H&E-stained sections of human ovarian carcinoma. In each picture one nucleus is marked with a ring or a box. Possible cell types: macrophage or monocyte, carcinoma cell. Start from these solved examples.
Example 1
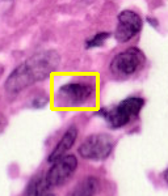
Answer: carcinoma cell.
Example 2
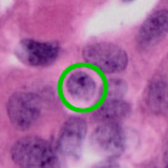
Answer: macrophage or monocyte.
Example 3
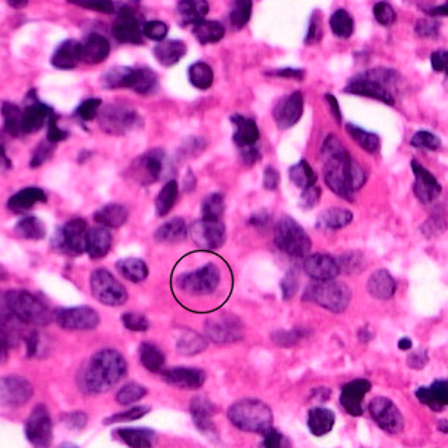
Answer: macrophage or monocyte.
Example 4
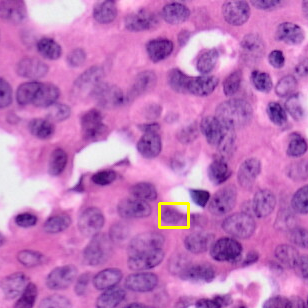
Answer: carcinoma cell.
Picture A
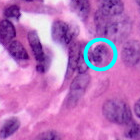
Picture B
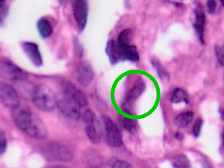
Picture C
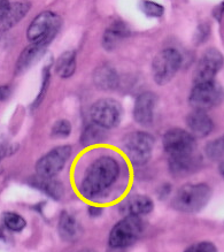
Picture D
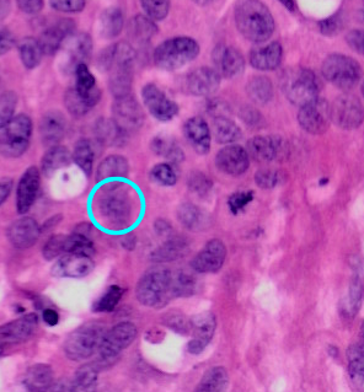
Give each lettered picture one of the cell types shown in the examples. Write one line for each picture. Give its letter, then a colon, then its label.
A: macrophage or monocyte.
B: carcinoma cell.
C: carcinoma cell.
D: carcinoma cell.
